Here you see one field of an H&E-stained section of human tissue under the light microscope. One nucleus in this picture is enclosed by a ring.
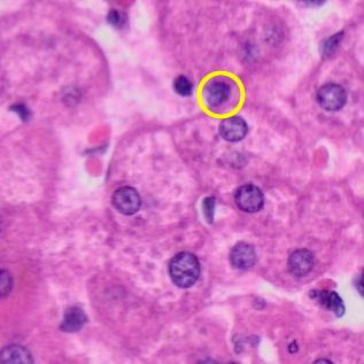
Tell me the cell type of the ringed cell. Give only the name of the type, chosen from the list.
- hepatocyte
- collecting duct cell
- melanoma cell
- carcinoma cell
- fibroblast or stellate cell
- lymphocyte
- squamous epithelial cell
fibroblast or stellate cell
